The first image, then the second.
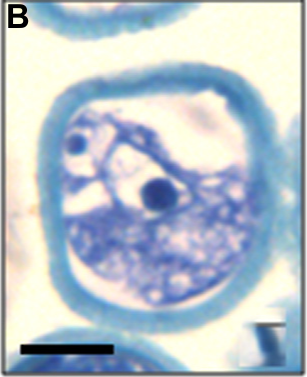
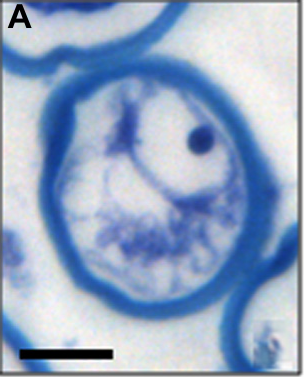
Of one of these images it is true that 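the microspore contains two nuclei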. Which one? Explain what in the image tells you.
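The first image. First image: two dark nuclei are visible within one walled cell. Second image: a single nucleus lies beside a large clear vacuole.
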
